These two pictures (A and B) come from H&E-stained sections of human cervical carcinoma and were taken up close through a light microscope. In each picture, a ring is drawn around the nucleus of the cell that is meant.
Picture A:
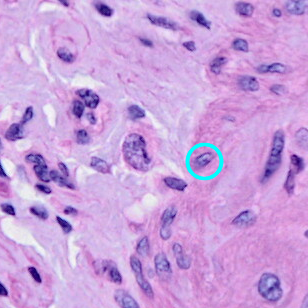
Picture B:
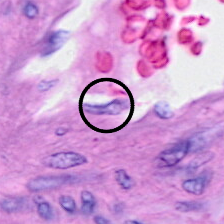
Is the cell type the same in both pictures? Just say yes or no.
no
